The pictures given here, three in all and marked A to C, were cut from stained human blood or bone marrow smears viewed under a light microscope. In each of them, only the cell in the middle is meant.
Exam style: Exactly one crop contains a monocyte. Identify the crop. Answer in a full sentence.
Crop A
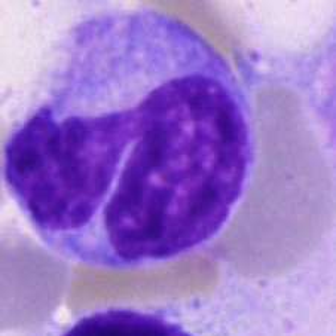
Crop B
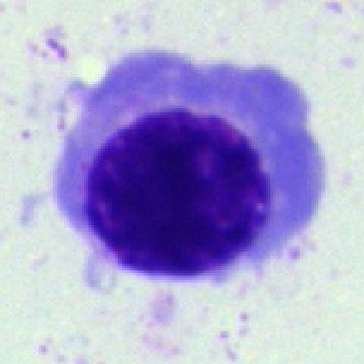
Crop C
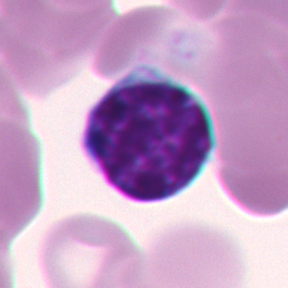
Crop A is the crop whose central cell is a monocyte.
